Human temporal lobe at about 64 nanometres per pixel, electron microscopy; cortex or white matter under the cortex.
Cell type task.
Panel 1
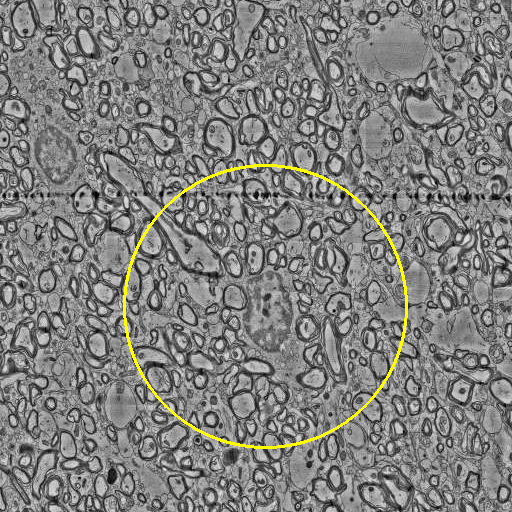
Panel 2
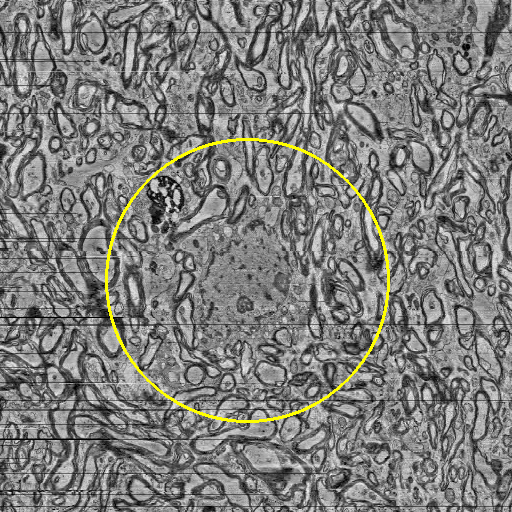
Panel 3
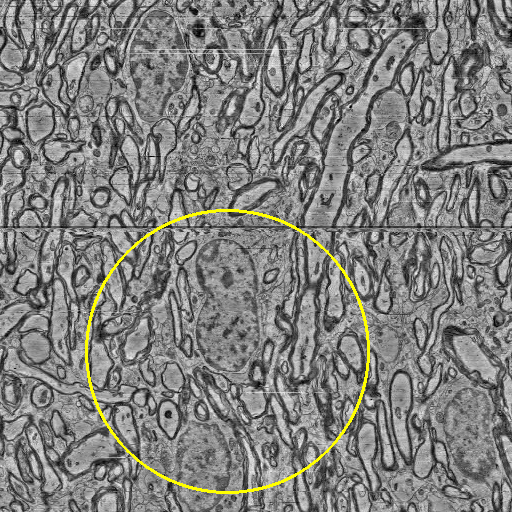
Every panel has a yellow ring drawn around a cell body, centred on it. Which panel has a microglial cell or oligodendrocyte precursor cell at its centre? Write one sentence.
It sits at the centre of the ring in Panel 3.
